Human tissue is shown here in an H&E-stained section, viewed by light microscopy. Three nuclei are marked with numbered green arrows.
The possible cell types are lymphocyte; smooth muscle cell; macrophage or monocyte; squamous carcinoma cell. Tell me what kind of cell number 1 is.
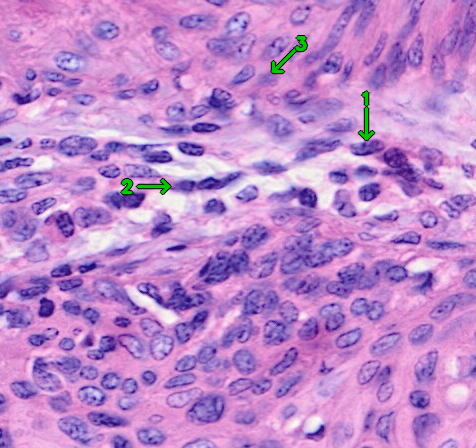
lymphocyte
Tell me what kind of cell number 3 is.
smooth muscle cell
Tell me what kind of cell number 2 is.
lymphocyte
